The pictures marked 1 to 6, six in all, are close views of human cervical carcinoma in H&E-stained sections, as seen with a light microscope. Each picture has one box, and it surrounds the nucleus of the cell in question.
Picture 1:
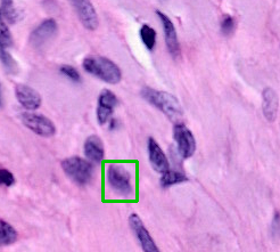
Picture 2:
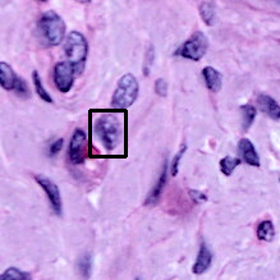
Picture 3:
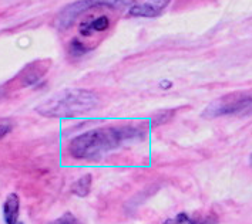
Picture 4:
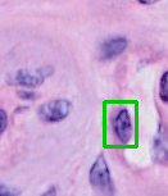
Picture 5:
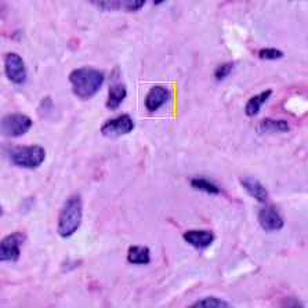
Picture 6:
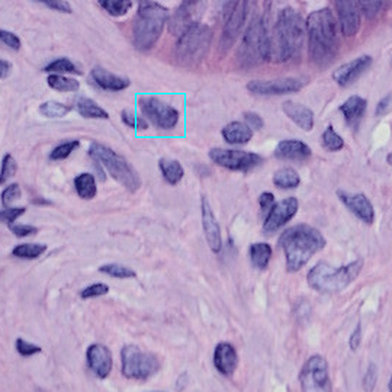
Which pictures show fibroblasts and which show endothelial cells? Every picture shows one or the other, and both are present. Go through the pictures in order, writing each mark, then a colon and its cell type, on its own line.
1: fibroblast
2: endothelial cell
3: fibroblast
4: endothelial cell
5: fibroblast
6: fibroblast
